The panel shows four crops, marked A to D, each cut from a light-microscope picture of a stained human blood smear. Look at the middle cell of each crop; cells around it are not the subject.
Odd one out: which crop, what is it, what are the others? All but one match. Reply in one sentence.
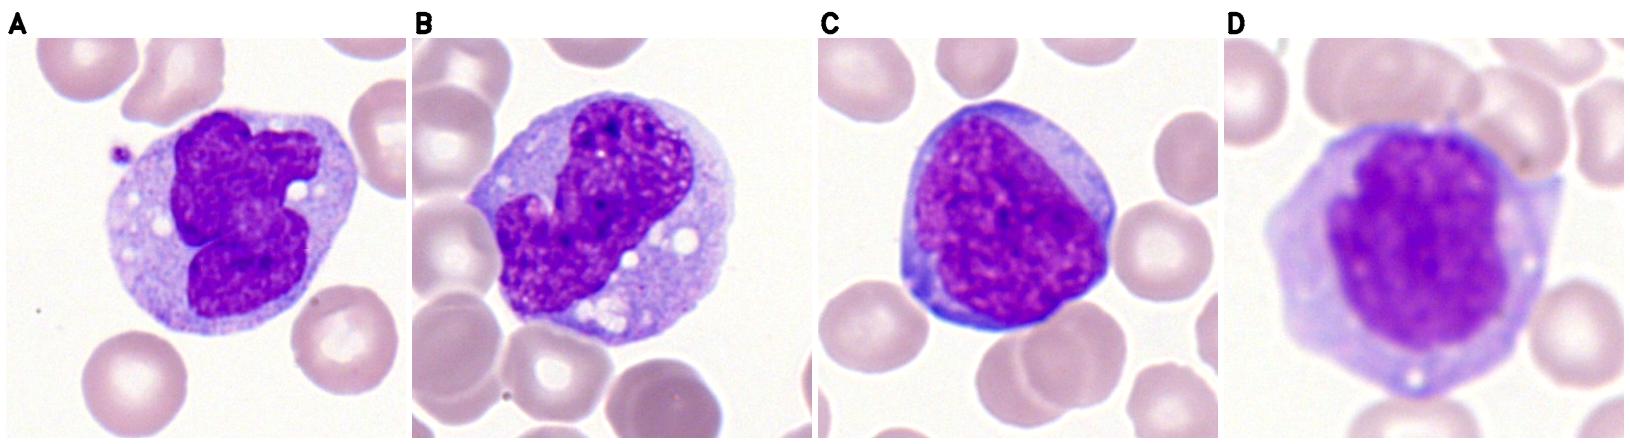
Crop C is not like the others: it is a myeloblast, and they are monocytes.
